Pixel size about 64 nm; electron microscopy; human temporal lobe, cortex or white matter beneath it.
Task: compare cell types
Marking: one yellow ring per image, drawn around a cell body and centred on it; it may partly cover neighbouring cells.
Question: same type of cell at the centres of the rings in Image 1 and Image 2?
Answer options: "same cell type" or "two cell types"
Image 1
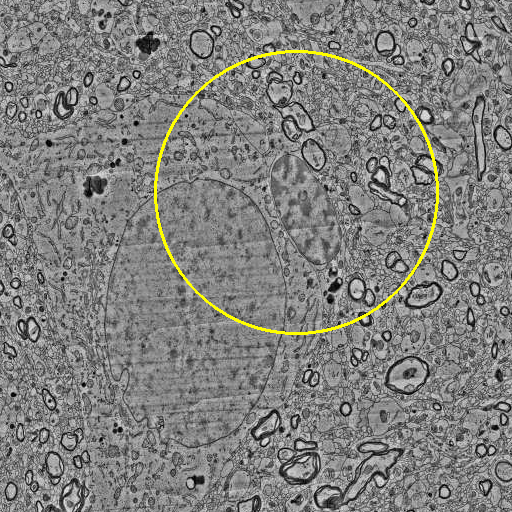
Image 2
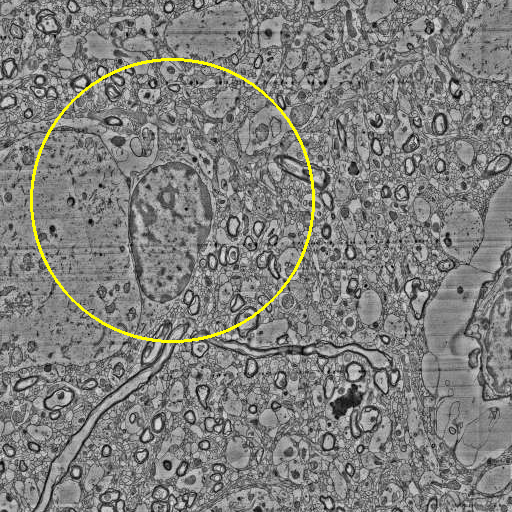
same cell type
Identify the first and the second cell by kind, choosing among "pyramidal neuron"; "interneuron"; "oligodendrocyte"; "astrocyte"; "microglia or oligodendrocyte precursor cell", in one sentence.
Each of the ringed cells, first and second, is a microglial cell or oligodendrocyte precursor cell.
